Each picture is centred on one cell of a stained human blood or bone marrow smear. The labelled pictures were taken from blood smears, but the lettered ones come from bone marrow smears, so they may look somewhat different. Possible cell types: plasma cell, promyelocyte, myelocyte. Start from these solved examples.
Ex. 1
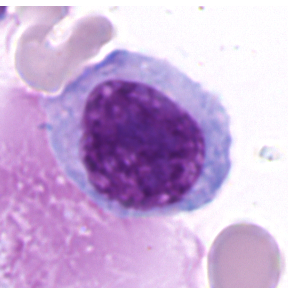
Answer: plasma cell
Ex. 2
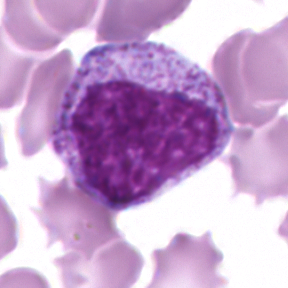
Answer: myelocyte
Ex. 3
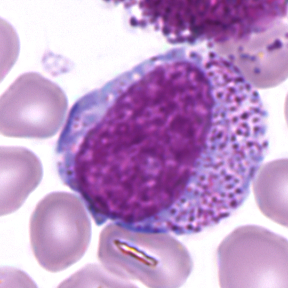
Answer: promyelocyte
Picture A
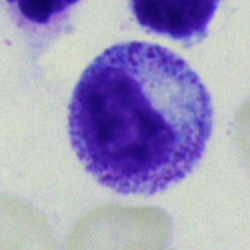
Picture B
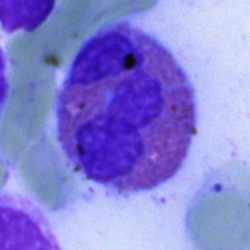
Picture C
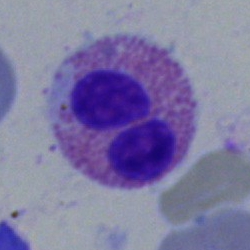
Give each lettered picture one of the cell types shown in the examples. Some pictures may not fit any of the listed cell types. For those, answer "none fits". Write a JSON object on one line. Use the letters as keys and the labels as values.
{"A": "myelocyte", "B": "none fits", "C": "none fits"}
